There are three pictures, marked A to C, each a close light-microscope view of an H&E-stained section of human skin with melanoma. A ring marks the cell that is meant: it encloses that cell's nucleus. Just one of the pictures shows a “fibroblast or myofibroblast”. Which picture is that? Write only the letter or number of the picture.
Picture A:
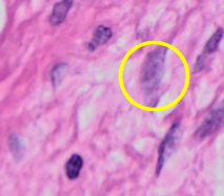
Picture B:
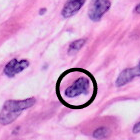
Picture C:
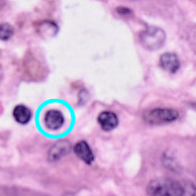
A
